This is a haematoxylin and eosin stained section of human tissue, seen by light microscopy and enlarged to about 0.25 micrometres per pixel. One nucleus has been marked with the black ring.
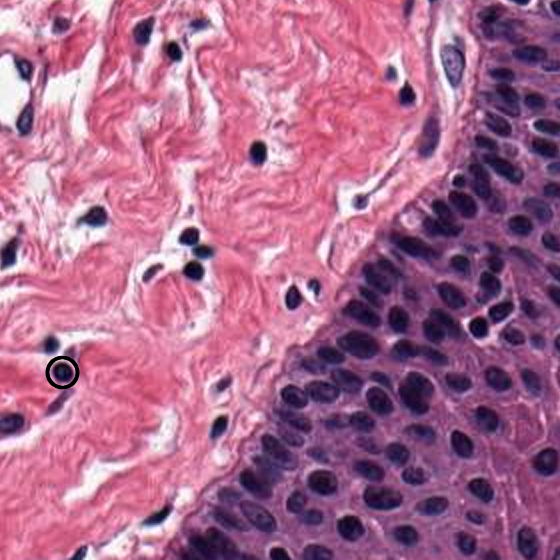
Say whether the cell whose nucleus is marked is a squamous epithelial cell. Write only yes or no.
no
